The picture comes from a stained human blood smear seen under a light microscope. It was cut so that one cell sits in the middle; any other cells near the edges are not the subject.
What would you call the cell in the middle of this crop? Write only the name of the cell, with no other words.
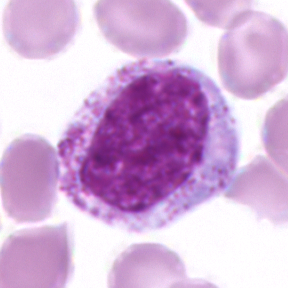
myelocyte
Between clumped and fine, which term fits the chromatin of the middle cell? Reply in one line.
What stands out is chromatin that is coarsely clumped.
